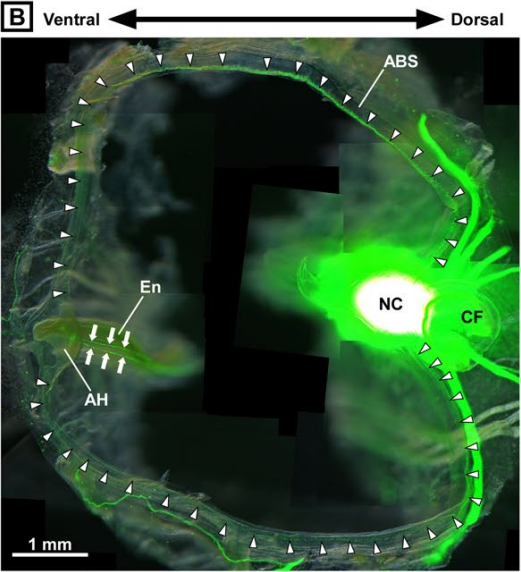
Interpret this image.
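This is a low-magnification fluorescence view of the front end of the pharynx of a sea squirt, seen from above. On one side there is a very bright, round green mass from which many green fibres radiate outward. On the opposite side, a groove-like organ points inward into the ring and carries a narrow band of green cells.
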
